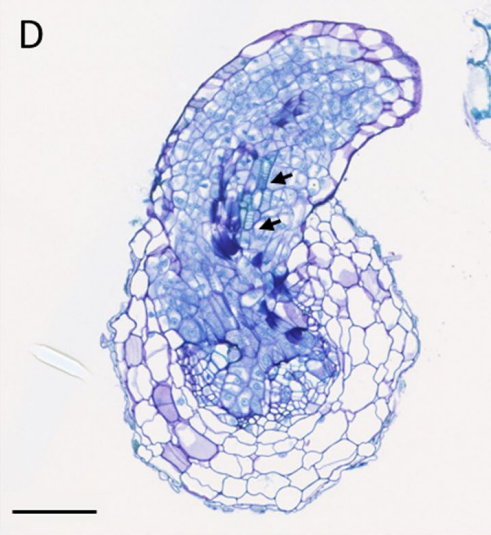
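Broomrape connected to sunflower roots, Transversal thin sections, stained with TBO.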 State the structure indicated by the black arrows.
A: xylem strands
